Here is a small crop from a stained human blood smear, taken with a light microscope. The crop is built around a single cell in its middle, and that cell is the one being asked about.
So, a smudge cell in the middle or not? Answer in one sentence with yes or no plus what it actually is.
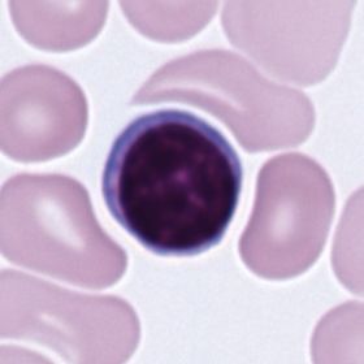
No, at the middle of the crop is a typical lymphocyte, not a smudge cell.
